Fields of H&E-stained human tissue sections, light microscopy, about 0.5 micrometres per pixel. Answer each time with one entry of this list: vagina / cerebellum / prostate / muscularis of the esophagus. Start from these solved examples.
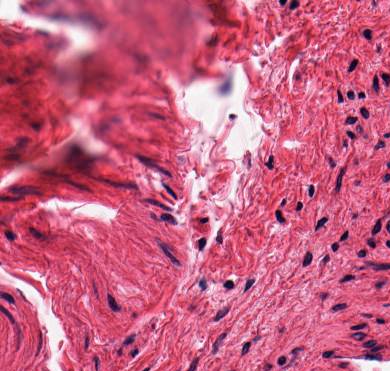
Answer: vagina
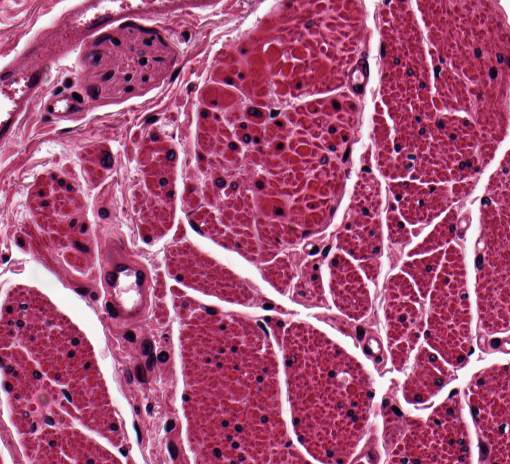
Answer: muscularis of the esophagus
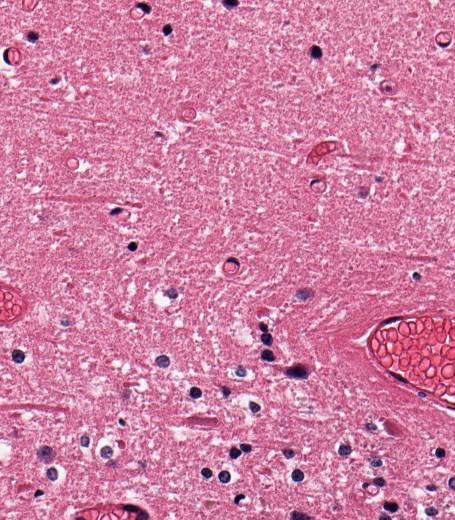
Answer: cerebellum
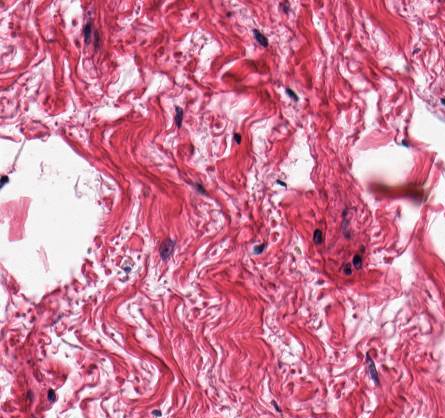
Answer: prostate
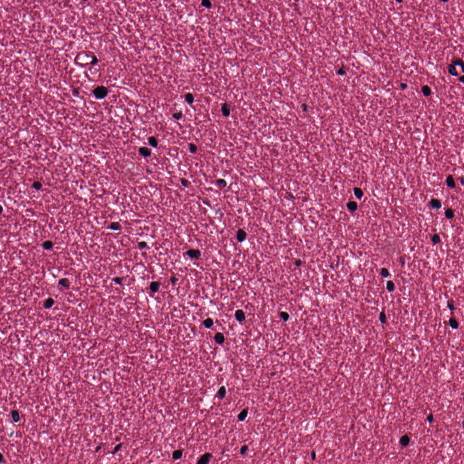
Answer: cerebellum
